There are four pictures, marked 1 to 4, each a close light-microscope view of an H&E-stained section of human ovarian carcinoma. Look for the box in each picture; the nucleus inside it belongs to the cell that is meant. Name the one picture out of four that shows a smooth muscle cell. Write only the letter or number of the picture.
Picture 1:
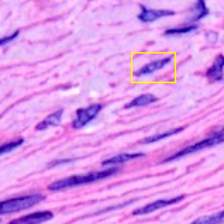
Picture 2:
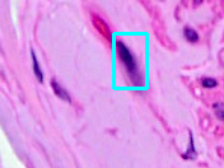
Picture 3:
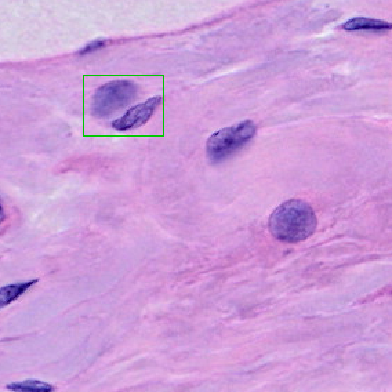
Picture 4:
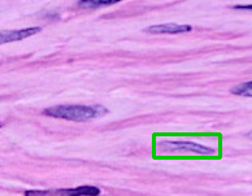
4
